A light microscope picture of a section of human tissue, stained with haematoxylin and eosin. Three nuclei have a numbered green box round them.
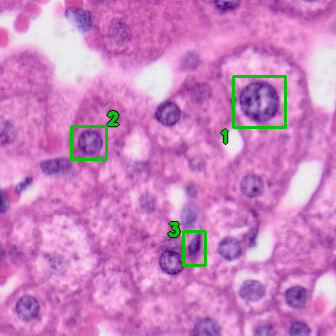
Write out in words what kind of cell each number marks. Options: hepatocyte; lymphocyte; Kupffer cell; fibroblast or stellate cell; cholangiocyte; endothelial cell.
Cells 1 and 2 are hepatocytes. Cell 3 is a fibroblast or stellate cell.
